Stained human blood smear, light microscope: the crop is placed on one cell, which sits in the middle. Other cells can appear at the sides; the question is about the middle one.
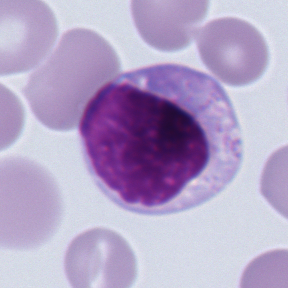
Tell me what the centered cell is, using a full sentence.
The cell of interest, located centrally, is a large granular lymphocyte.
